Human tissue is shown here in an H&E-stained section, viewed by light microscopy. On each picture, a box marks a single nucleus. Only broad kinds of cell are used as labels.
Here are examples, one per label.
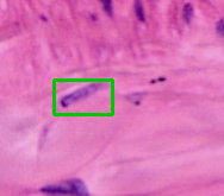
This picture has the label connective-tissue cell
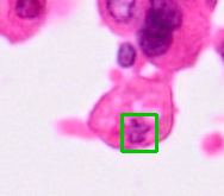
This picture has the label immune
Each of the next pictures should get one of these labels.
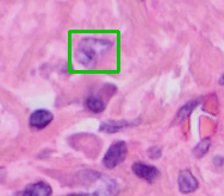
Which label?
connective-tissue cell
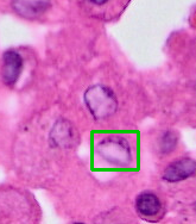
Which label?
immune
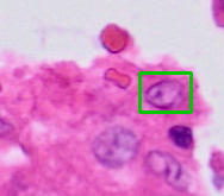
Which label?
immune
